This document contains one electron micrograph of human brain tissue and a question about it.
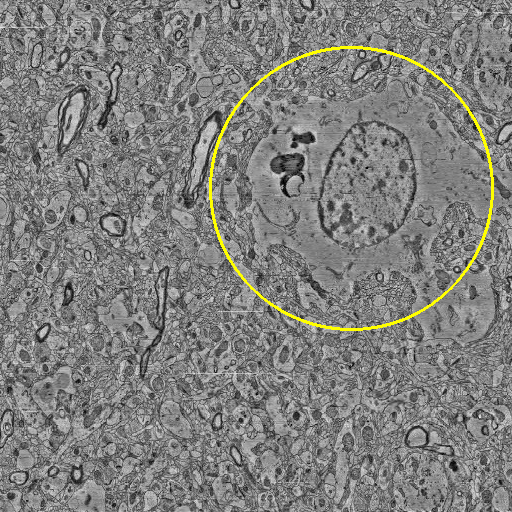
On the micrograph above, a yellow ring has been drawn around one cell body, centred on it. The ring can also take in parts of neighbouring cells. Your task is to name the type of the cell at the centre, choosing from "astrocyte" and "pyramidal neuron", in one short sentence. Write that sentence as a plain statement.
Here the ring is centred on an astrocyte.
